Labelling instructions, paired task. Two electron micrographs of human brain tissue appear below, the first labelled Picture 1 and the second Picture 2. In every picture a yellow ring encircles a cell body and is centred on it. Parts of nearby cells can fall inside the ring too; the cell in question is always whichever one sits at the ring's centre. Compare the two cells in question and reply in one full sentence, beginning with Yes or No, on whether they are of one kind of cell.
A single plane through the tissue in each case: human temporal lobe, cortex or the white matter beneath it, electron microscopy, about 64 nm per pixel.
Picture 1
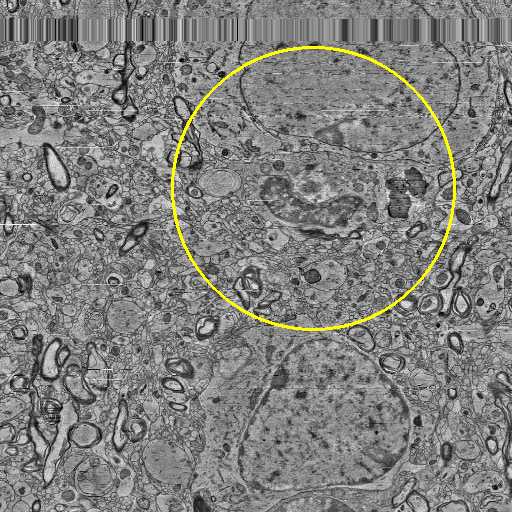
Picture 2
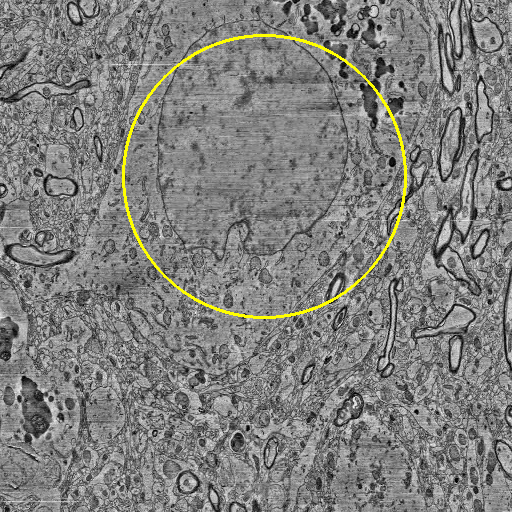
No, the two cells at the ring centres in Picture 1 and Picture 2 are of two kinds.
